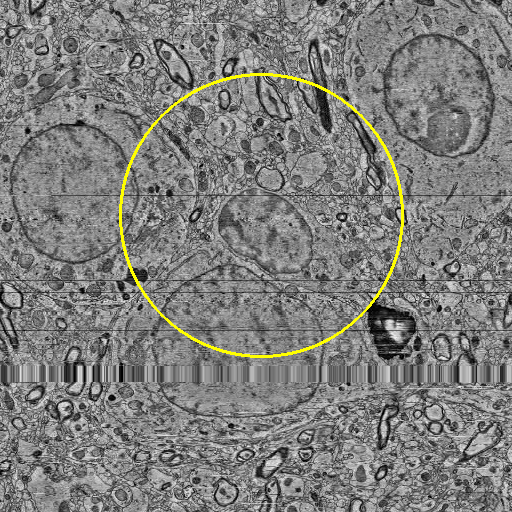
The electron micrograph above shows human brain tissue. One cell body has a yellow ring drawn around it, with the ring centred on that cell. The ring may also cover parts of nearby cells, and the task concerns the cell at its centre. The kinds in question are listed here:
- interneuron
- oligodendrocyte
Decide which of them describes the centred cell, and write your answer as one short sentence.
The centred cell is an oligodendrocyte.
